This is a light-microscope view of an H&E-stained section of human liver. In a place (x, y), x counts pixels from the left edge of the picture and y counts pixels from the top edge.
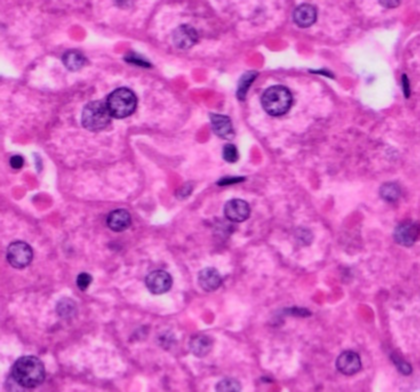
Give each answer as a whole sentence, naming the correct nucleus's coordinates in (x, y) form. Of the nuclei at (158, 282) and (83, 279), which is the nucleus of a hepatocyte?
The nucleus of a hepatocyte lies at (158, 282), not at the other position.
